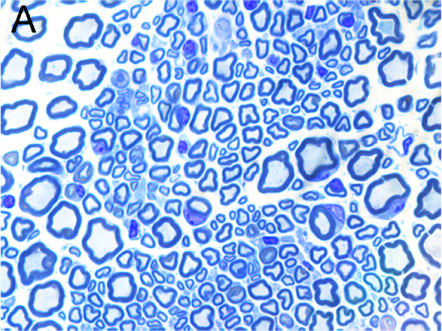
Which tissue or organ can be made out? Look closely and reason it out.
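Many round profiles cut in cross-section, packed side by side. Each profile has a pale centre within a dark blue ring. Profiles vary in size from small to large.
Conclusion: nerves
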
